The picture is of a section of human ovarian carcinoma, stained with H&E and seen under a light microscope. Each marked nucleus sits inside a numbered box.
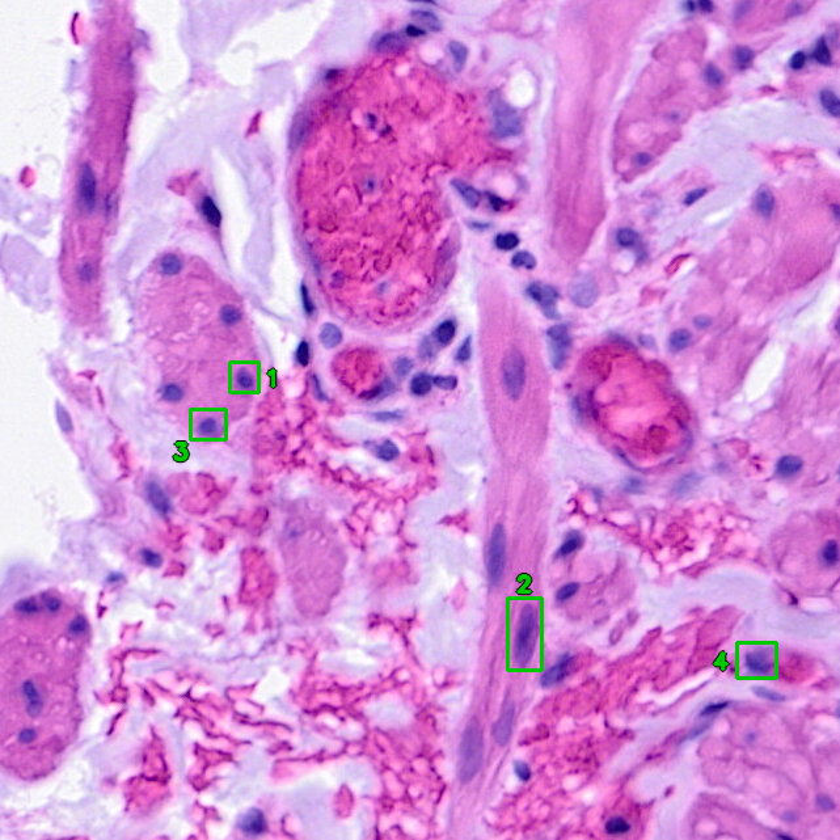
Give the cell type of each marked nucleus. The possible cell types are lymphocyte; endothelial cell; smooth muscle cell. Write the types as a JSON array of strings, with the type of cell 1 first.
["smooth muscle cell", "smooth muscle cell", "smooth muscle cell", "endothelial cell"]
